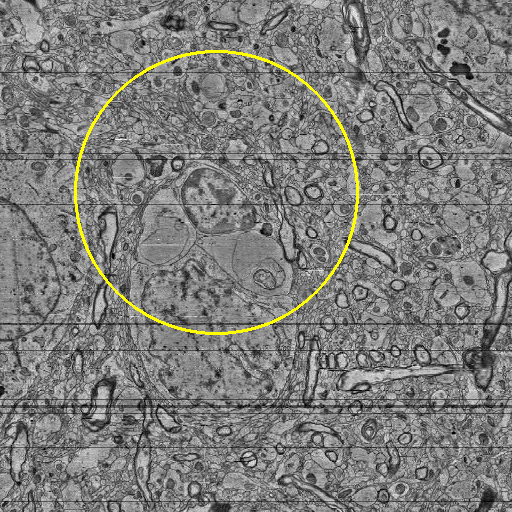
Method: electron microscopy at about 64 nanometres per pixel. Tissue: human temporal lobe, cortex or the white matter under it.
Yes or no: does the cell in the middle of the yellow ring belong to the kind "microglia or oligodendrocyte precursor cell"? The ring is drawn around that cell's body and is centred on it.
yes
